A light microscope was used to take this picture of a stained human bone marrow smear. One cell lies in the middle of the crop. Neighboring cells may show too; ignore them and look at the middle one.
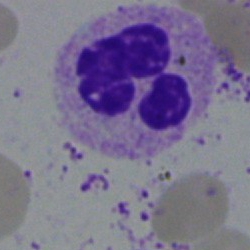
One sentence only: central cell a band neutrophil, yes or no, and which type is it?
No; rather than a band neutrophil, the cell at the center is a segmented neutrophil.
